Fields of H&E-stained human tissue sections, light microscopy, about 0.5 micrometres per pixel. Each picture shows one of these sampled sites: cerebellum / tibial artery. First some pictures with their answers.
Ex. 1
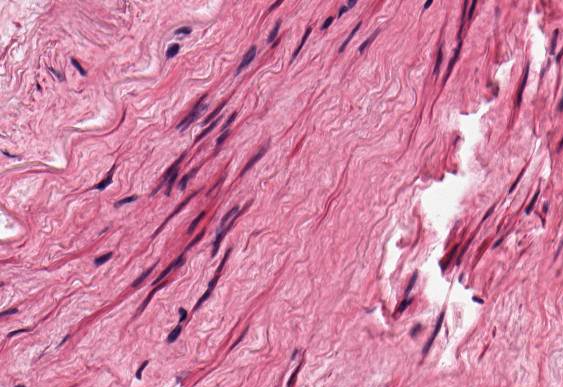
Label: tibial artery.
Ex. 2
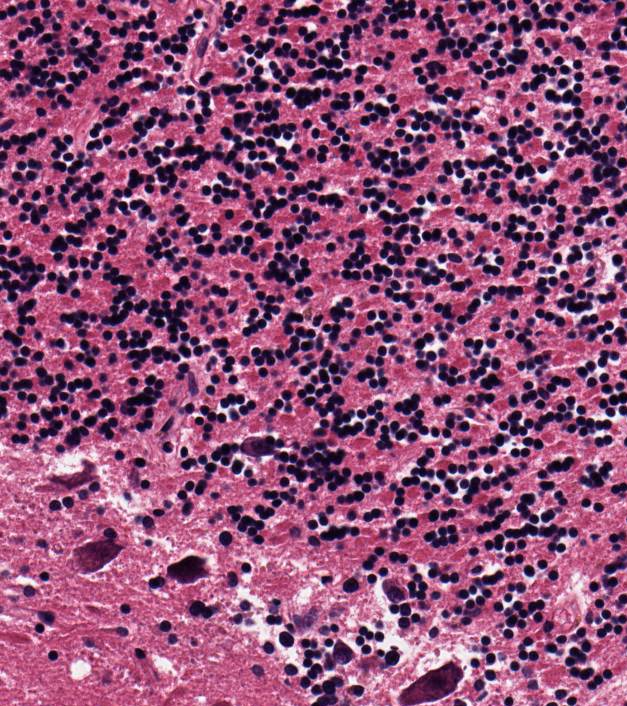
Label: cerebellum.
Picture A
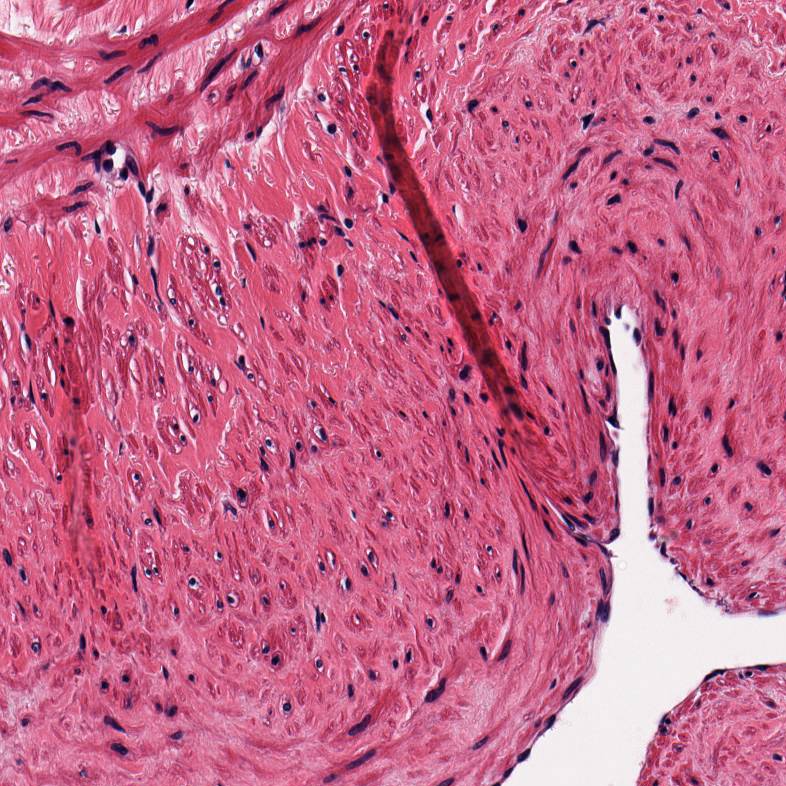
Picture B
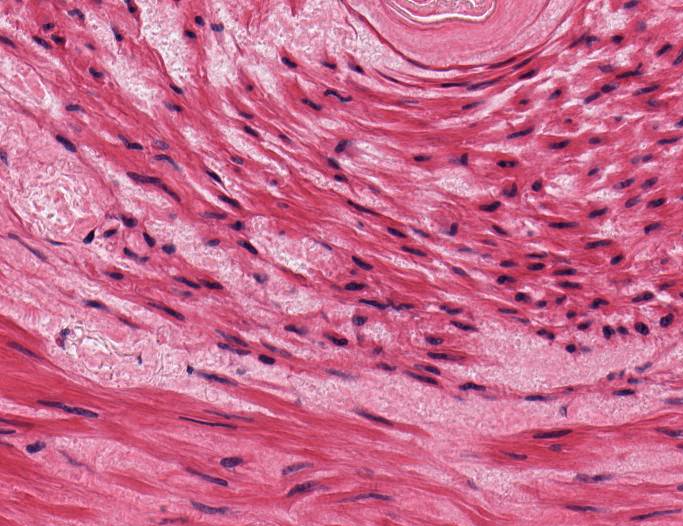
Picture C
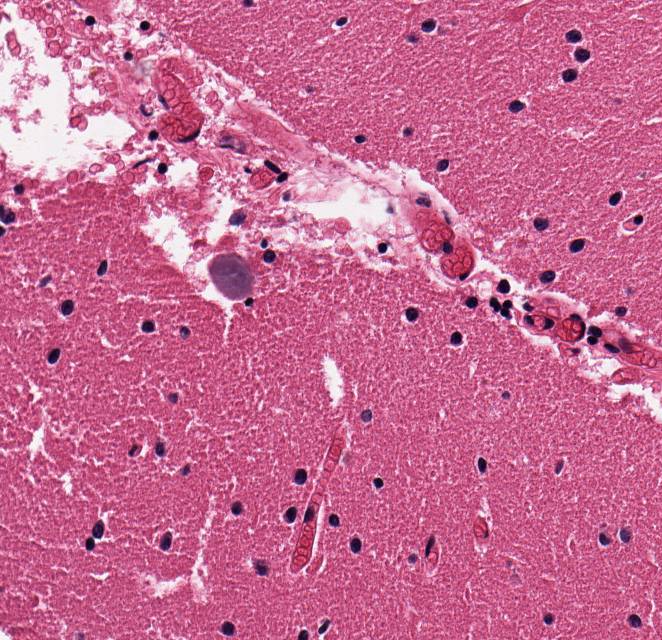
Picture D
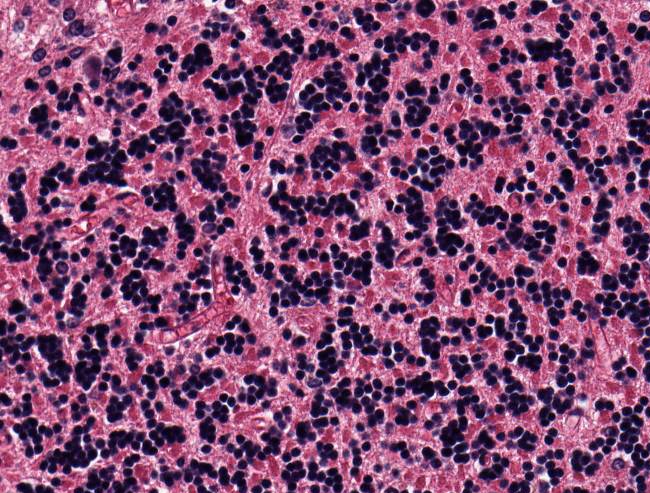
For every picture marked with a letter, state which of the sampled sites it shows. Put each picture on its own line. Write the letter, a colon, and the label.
A: tibial artery.
B: tibial artery.
C: cerebellum.
D: cerebellum.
